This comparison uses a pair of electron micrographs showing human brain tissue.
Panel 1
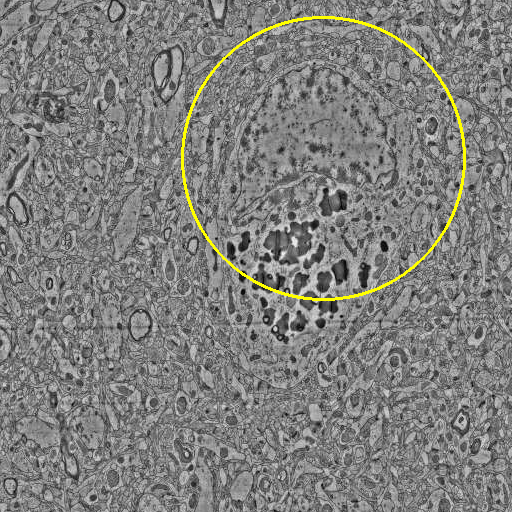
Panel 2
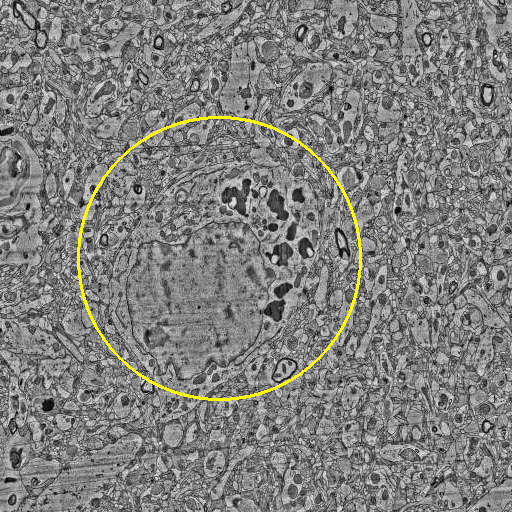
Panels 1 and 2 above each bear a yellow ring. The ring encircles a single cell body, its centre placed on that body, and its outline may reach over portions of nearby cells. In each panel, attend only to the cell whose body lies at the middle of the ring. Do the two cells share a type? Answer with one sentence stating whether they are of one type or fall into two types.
In Panel 1 and Panel 2, the cells at the centres of the rings are of one type.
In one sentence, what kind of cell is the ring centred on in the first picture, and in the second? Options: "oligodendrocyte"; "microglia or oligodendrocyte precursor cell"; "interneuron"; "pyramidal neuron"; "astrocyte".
Each cell at the centre of a ring is an interneuron.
